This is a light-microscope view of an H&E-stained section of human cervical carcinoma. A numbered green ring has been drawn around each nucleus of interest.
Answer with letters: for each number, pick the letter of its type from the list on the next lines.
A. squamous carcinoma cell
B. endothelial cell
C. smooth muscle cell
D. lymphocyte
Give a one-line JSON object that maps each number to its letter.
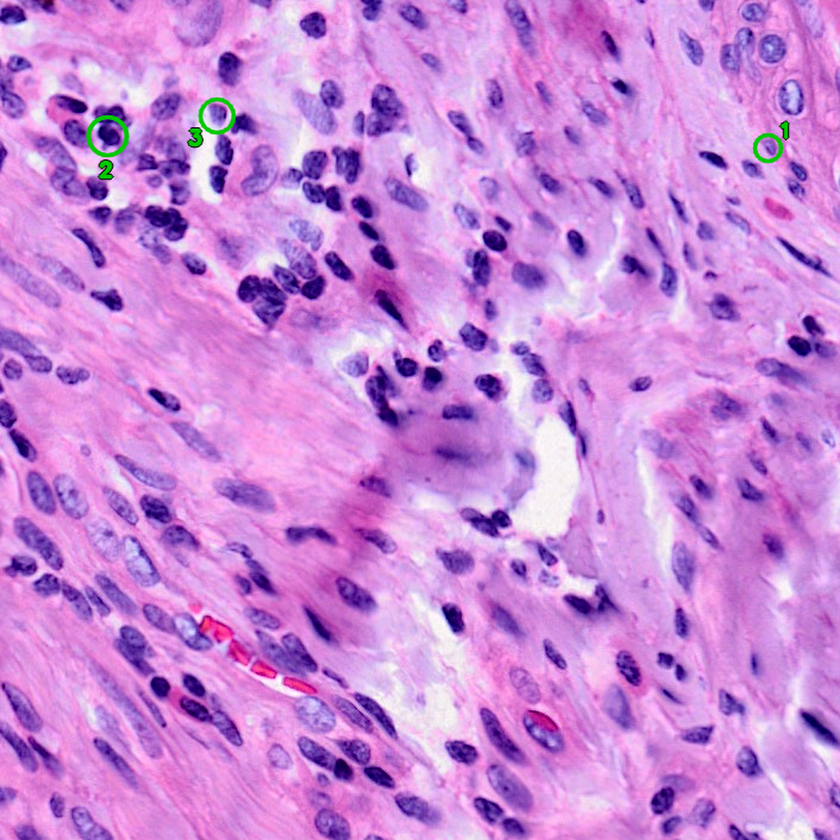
{"1": "C", "2": "D", "3": "D"}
